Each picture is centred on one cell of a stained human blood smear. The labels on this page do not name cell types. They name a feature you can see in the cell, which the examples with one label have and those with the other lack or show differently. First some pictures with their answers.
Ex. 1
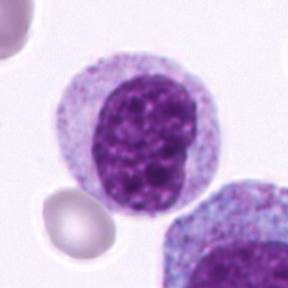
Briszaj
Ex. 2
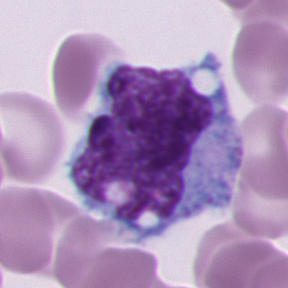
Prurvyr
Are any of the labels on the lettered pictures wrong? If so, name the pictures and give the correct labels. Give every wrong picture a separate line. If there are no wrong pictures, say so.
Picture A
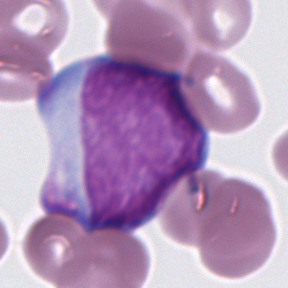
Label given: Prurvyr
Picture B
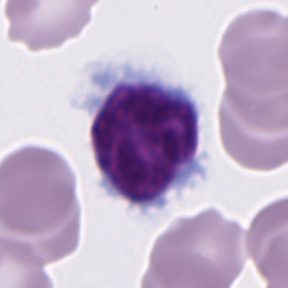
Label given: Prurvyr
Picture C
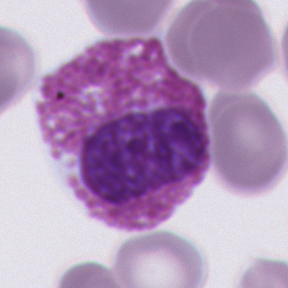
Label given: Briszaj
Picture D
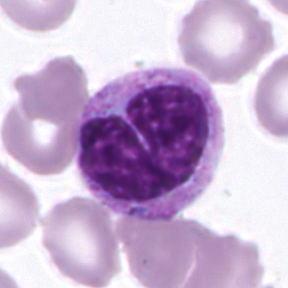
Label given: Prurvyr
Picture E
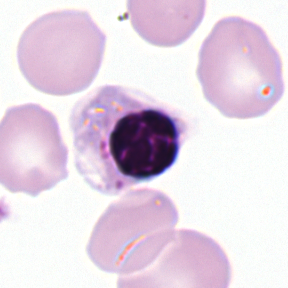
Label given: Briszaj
A: Briszaj, not Prurvyr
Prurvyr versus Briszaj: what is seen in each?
Prurvyr, scant cytoplasm; Briszaj, abundant cytoplasm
